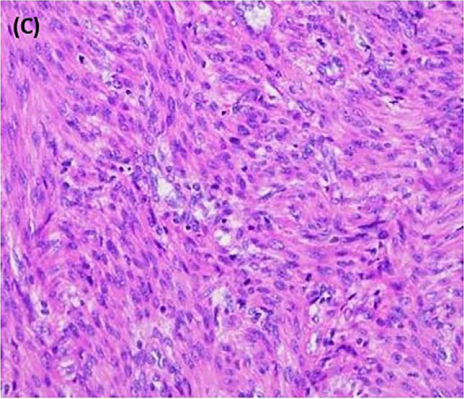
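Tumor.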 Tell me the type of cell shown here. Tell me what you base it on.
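Spindle cells. Nuclei are elongated with tapered ends. Cells are drawn out into long slender shapes with pink cytoplasm.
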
